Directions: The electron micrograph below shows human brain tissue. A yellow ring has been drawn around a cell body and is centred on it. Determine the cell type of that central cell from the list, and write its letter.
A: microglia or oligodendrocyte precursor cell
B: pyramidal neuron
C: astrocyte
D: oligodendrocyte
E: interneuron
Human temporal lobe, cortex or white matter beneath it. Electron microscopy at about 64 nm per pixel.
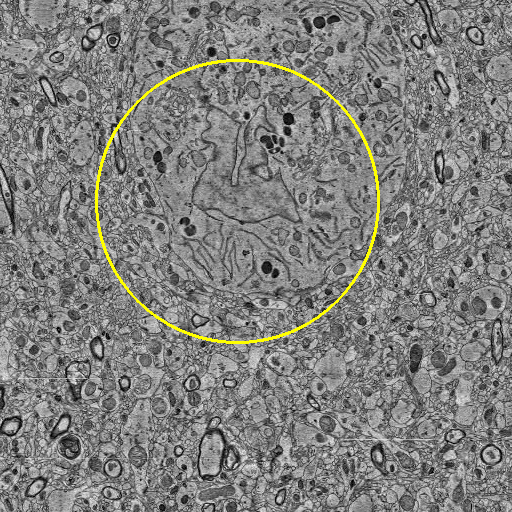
E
